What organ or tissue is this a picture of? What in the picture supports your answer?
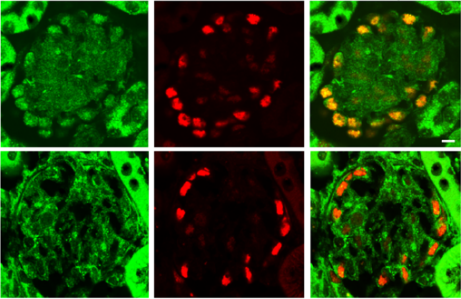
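Glomeruli. A round capillary tuft fills the centre of each image. The tuft is surrounded by brightly stained tubule cells.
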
